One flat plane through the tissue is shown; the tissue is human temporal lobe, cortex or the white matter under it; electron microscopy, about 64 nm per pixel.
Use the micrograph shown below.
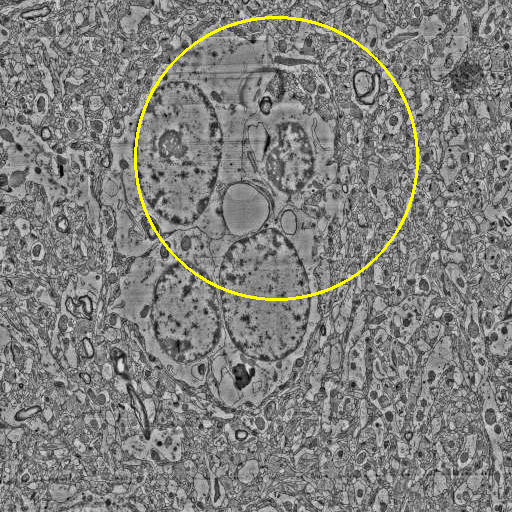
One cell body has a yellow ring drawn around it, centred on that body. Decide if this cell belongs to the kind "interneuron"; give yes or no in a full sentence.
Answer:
No, the cell lying at the ring's centre in the micrograph is of another kind.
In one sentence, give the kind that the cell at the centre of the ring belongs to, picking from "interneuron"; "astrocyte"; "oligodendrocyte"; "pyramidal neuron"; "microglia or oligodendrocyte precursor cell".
Instead, the ringed cell here is an astrocyte.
